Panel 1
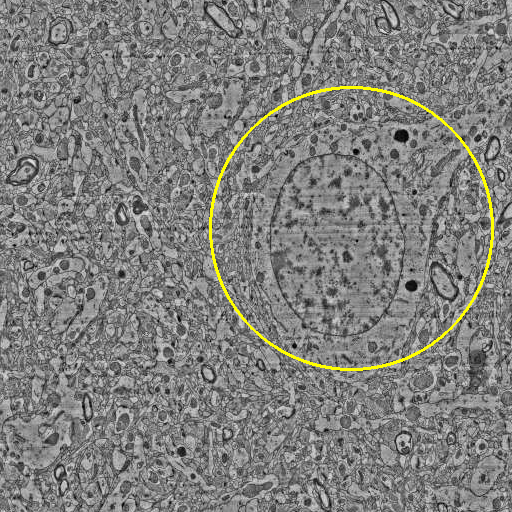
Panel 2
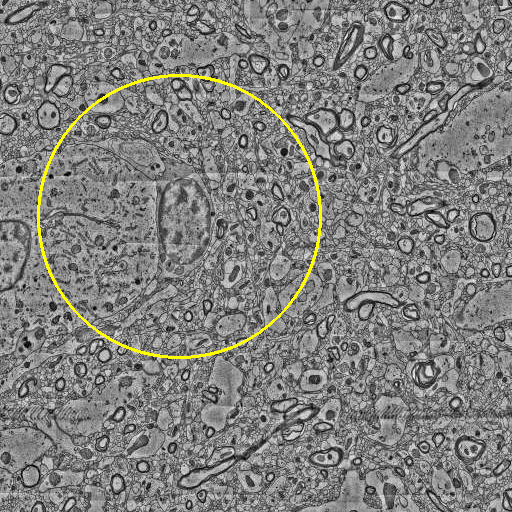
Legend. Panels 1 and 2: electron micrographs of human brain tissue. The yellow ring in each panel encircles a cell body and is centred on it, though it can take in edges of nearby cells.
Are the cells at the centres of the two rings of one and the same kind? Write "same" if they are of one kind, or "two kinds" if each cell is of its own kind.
two kinds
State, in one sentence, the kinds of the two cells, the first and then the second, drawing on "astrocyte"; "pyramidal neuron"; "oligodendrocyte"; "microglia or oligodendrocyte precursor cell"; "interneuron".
The ring in the second picture is centred on an oligodendrocyte, the ring in the first on a pyramidal neuron.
